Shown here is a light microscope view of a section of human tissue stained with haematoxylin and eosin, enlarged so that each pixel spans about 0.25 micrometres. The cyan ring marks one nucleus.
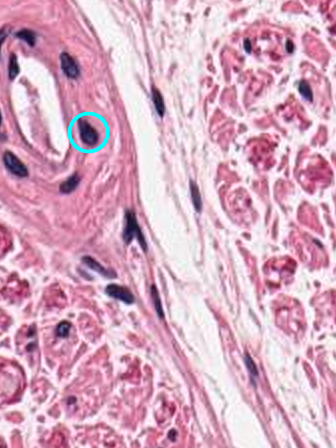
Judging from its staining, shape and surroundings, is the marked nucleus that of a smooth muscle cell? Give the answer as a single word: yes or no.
yes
